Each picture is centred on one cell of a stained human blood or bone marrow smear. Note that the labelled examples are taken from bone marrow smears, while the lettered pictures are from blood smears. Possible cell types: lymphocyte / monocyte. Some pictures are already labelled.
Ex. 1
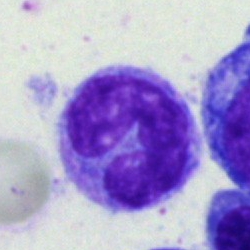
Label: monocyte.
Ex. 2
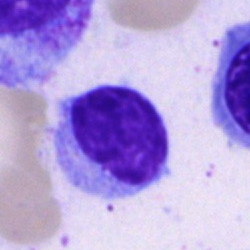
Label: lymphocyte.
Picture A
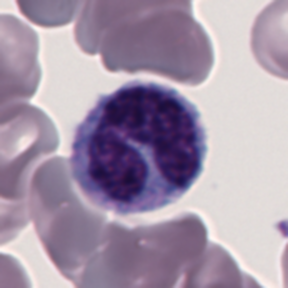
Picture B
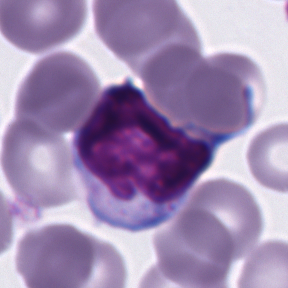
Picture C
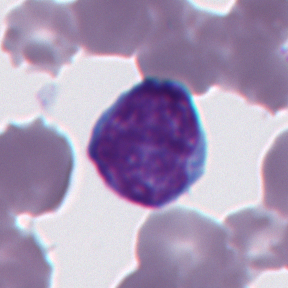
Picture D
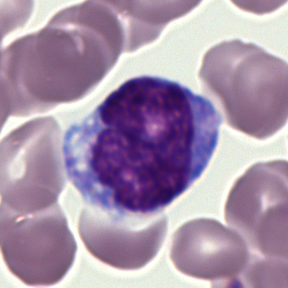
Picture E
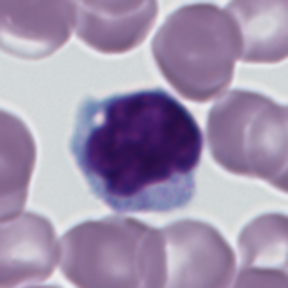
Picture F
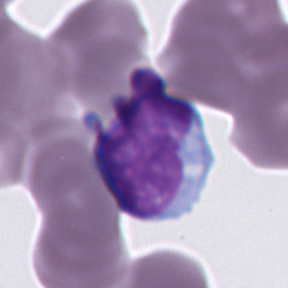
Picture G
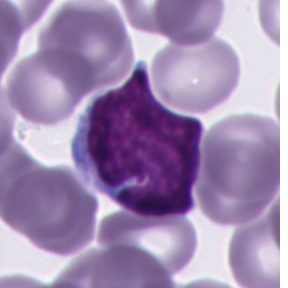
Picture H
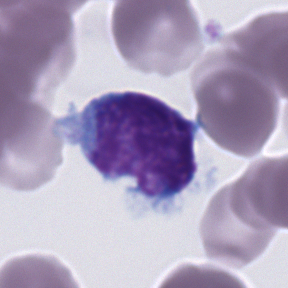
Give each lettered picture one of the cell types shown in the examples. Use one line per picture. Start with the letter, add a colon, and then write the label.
A: monocyte.
B: lymphocyte.
C: lymphocyte.
D: monocyte.
E: lymphocyte.
F: lymphocyte.
G: lymphocyte.
H: monocyte.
